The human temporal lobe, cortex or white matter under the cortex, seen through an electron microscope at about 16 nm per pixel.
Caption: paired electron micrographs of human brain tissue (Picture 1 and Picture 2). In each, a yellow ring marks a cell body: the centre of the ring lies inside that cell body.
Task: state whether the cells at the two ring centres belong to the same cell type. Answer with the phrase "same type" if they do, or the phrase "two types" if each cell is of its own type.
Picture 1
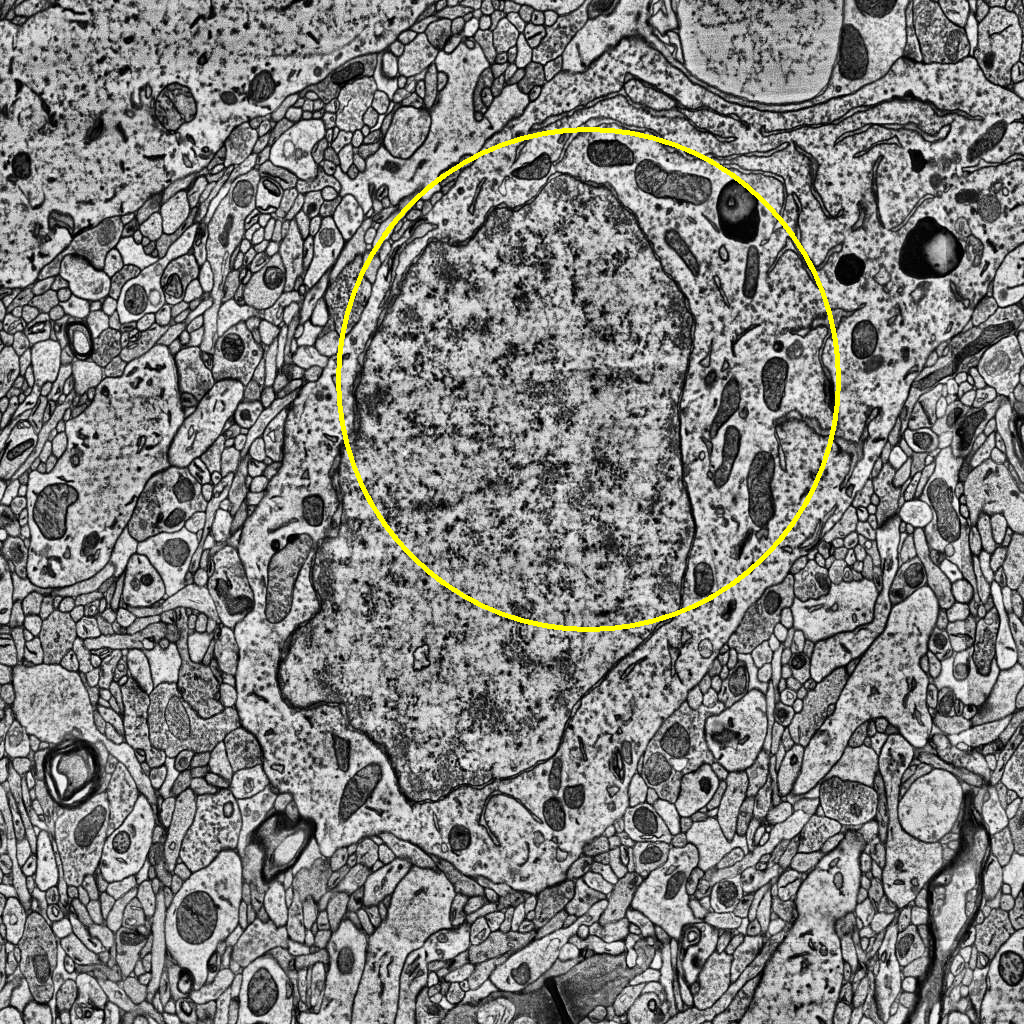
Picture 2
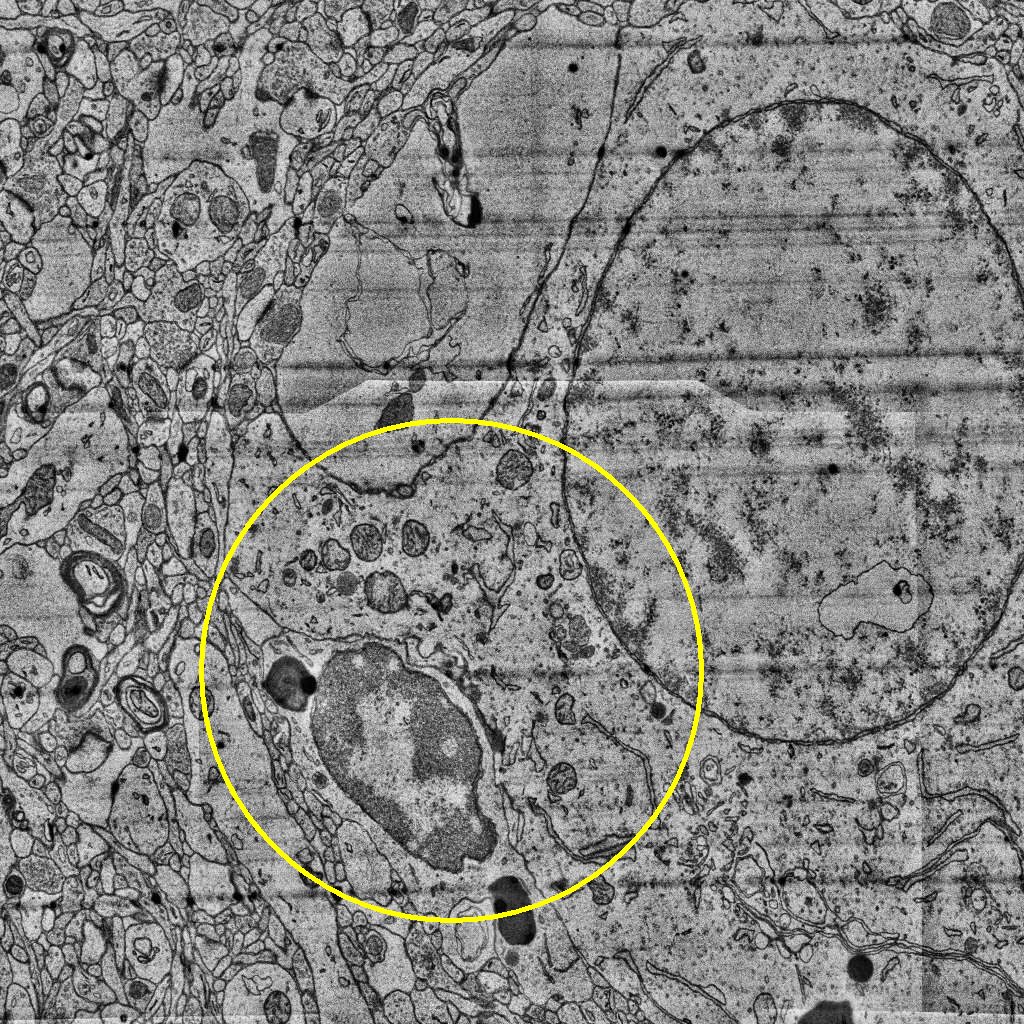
two types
